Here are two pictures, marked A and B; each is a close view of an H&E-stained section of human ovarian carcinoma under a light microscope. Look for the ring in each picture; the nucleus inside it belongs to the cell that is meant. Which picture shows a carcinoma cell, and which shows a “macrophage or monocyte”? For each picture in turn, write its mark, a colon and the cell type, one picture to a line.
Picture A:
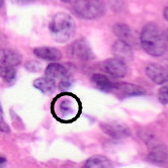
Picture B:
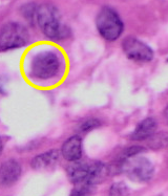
A: macrophage or monocyte
B: carcinoma cell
